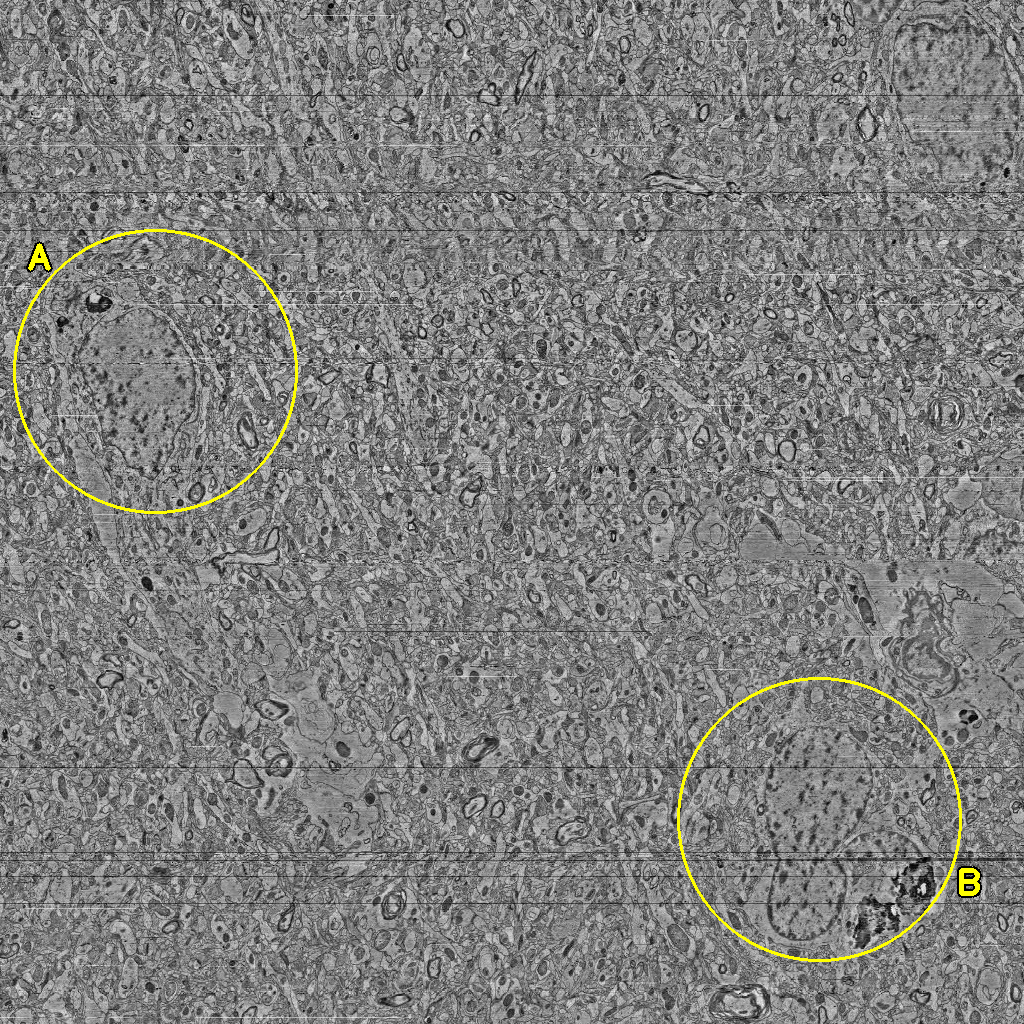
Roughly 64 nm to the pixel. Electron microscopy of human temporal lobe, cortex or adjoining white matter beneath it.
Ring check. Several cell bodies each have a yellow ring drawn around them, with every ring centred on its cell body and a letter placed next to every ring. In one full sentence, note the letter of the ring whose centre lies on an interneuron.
At the centre of ring A lies the cell asked for in this check.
